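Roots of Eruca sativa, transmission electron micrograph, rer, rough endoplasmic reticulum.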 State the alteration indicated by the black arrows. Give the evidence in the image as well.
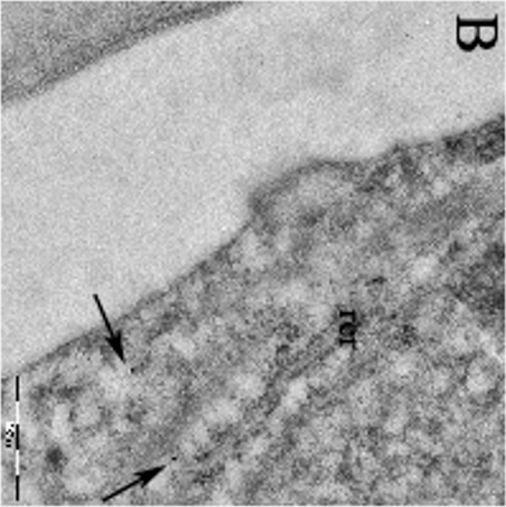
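Small dark deposits. Each arrow points to a minute dark dot in the granular cytoplasm.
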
